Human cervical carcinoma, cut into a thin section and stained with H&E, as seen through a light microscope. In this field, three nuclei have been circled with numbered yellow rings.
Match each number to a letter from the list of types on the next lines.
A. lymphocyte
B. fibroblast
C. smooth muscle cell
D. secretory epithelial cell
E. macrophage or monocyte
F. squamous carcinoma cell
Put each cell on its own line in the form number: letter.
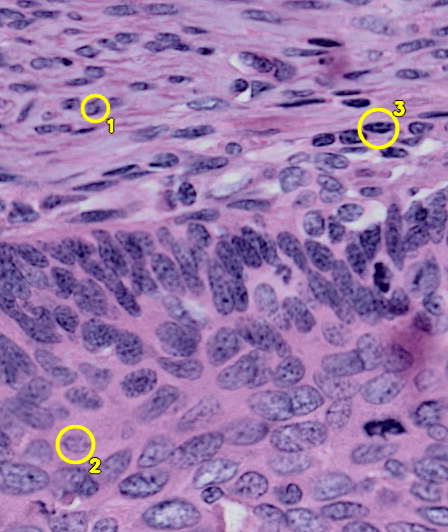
1: C
2: F
3: A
